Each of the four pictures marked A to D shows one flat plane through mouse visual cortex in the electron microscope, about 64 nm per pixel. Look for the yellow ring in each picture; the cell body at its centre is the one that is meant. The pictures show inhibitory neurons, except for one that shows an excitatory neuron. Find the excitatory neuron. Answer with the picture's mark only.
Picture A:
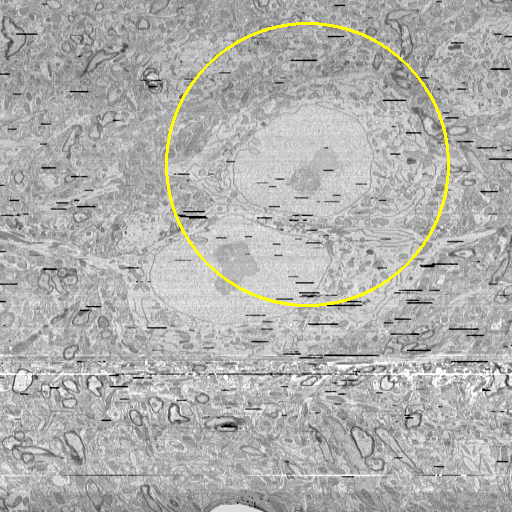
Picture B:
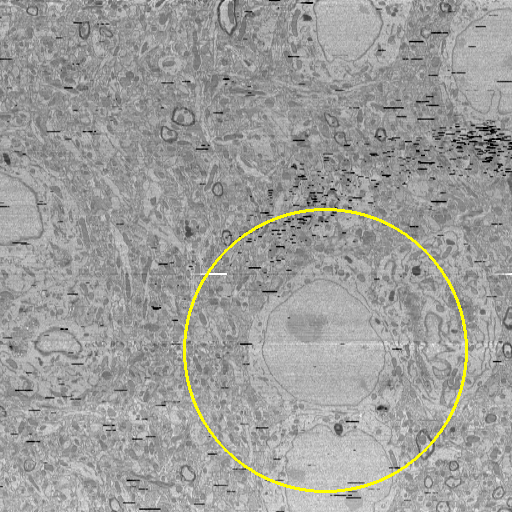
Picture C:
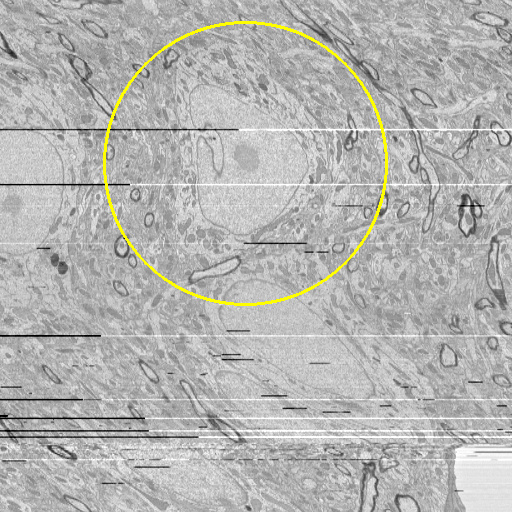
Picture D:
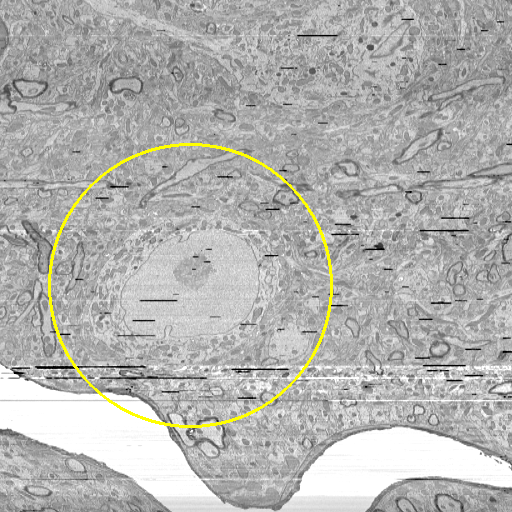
B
